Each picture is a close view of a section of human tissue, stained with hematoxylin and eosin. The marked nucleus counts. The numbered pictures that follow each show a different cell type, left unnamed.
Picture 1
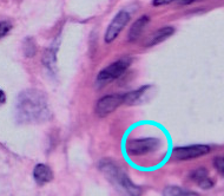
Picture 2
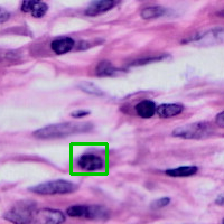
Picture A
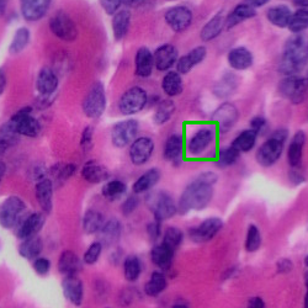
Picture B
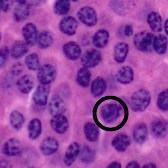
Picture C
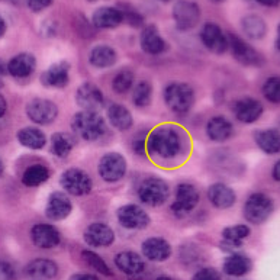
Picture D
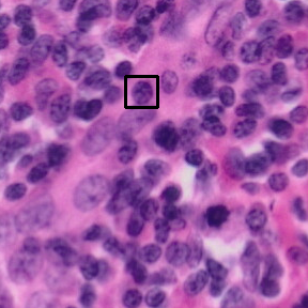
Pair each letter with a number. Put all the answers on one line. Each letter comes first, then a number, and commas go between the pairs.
A 1, B 2, C 2, D 1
